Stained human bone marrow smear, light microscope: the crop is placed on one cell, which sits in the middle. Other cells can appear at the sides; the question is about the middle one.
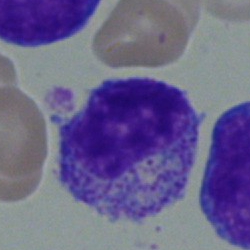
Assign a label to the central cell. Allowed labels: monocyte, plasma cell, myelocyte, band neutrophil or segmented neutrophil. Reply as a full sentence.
At the center of the crop sits a myelocyte.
